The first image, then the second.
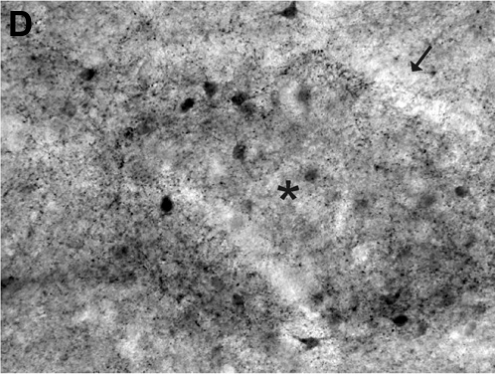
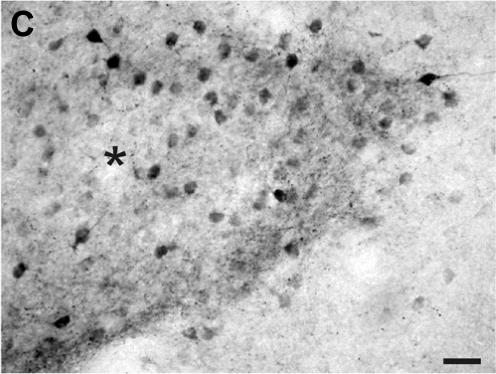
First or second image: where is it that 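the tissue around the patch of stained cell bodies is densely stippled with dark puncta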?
The first image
